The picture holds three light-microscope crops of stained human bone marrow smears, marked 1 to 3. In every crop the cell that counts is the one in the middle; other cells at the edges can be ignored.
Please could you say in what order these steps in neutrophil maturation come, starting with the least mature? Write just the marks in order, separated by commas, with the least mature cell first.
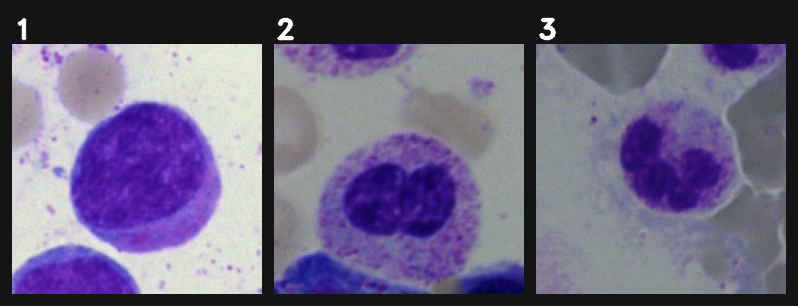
1, 2, 3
